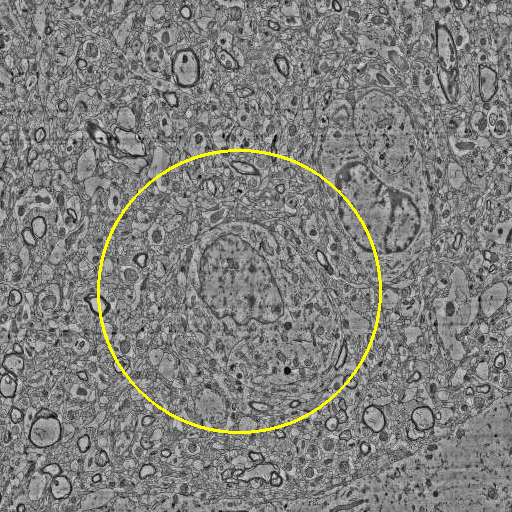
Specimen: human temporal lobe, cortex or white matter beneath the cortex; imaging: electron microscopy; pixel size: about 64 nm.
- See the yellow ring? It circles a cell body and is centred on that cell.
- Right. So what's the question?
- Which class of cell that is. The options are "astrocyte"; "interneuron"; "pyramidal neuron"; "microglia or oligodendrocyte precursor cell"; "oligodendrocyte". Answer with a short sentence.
The centre of the ring holds an interneuron.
